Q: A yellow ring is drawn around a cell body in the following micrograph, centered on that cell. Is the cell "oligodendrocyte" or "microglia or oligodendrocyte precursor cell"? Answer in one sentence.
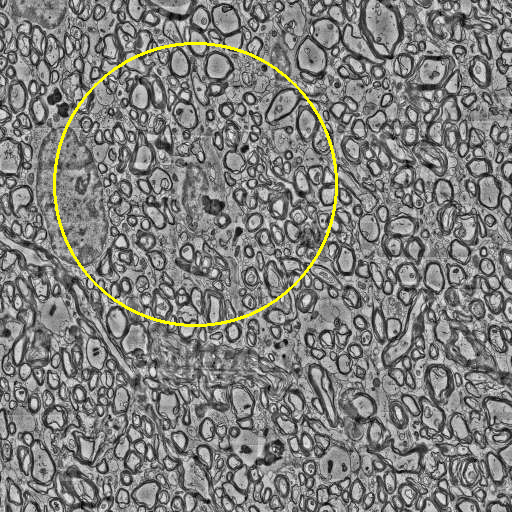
The cell in the center of the ring is an oligodendrocyte.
